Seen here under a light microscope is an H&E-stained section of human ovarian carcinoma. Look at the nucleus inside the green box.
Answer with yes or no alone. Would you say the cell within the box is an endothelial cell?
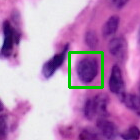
no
